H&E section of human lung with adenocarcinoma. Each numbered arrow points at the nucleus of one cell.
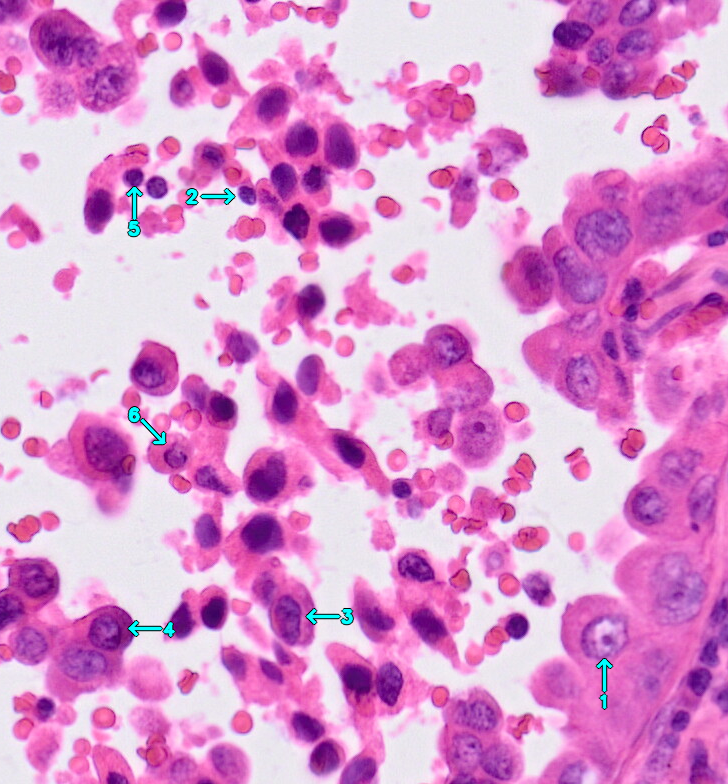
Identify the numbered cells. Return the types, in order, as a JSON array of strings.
["carcinoma cell", "lymphocyte", "carcinoma cell", "carcinoma cell", "lymphocyte", "macrophage or monocyte"]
